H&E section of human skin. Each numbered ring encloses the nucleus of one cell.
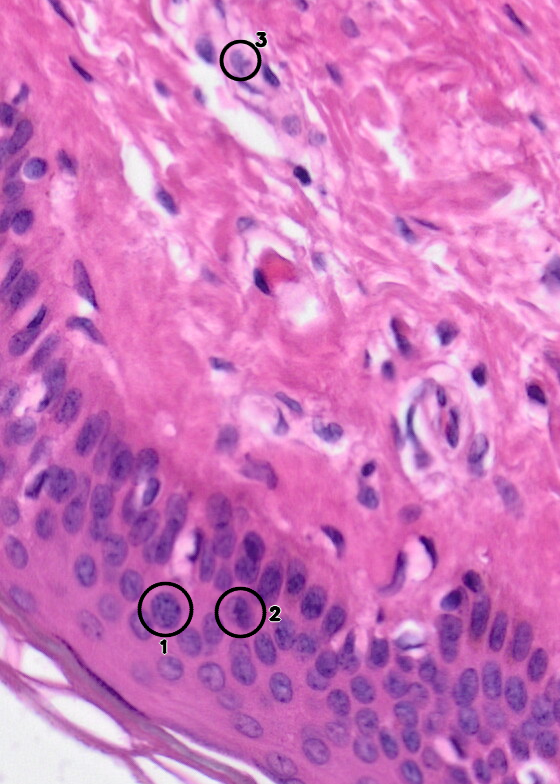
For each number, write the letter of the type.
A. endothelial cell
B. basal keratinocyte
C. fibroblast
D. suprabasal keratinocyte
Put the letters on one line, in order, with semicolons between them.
B; B; A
